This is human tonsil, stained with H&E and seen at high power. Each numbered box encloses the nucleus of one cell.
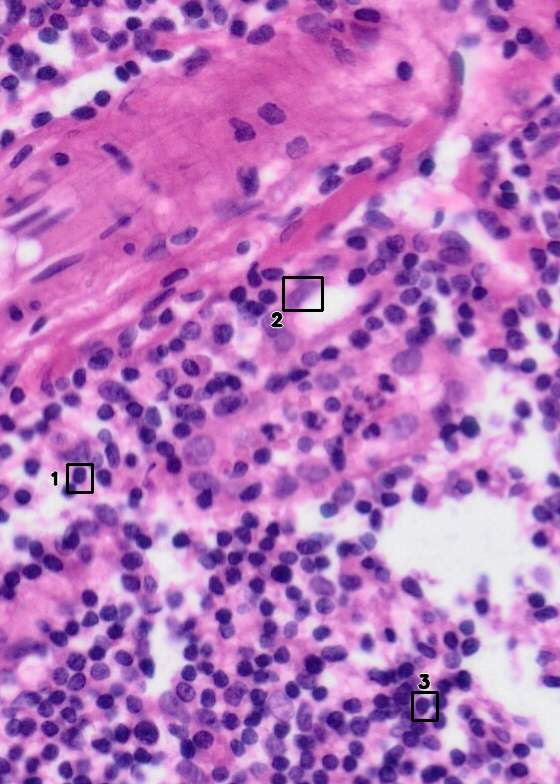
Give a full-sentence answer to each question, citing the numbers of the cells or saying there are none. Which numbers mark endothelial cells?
Only the cell numbered 2 qualifies as an endothelial cell among the marked cells.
